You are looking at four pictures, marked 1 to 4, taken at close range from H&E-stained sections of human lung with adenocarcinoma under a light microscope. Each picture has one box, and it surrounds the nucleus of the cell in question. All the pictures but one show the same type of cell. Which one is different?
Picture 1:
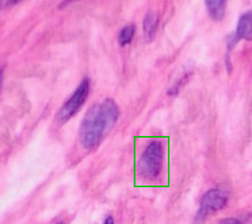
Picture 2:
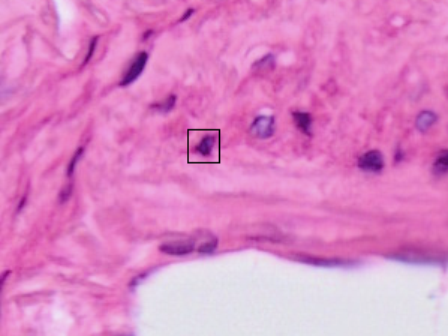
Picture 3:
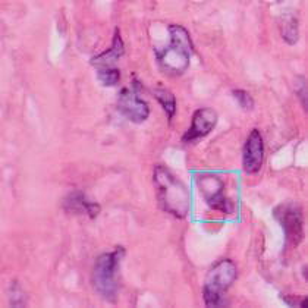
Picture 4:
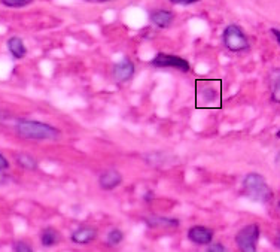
3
